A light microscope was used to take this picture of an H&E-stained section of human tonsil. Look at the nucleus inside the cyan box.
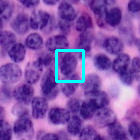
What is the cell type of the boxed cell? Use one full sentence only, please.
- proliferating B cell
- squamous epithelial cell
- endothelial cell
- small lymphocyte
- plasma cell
Within this tissue, the boxed cell is a small lymphocyte.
